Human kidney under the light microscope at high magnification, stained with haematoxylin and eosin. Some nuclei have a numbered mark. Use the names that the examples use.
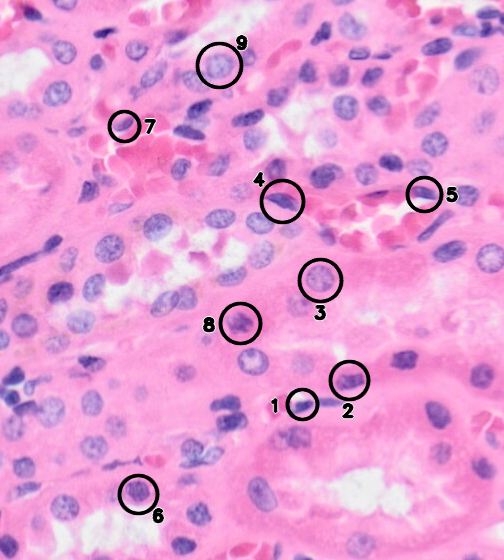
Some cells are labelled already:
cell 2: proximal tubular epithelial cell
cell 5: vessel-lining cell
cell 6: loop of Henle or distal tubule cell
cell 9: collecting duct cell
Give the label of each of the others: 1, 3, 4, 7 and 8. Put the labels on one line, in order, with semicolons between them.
vessel-lining cell; proximal tubular epithelial cell; vessel-lining cell; vessel-lining cell; proximal tubular epithelial cell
